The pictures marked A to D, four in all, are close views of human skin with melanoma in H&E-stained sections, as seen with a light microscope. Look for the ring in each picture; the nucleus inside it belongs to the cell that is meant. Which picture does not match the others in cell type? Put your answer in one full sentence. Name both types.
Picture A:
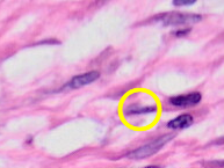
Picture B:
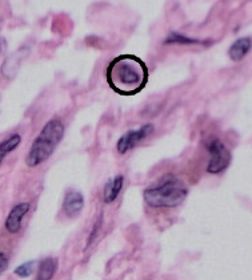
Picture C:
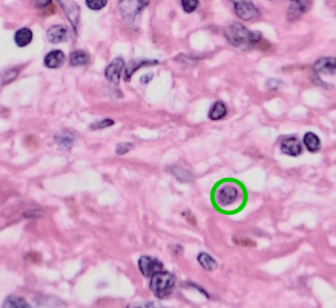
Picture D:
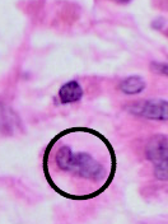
The others show “macrophages or monocytes”, but picture A shows a “fibroblast or myofibroblast”.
